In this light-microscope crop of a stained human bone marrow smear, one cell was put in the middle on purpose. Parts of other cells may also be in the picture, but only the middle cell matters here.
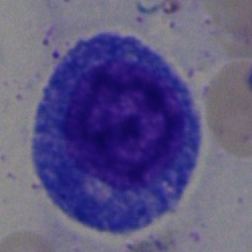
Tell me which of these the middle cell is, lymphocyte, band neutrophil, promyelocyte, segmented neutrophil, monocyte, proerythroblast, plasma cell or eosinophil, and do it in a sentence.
Among the cells in view, the one in the middle is a promyelocyte.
